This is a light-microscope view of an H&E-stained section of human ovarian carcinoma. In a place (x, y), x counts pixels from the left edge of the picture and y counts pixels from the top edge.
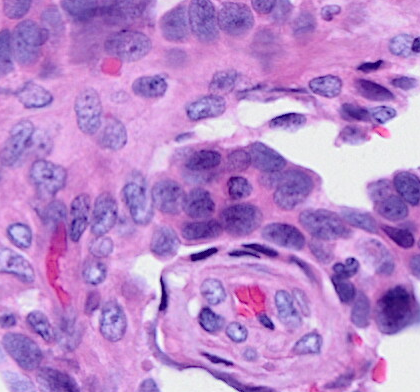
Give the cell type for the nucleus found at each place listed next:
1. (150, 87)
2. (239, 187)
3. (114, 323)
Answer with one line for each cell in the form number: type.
1: macrophage or monocyte
2: macrophage or monocyte
3: fibroblast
